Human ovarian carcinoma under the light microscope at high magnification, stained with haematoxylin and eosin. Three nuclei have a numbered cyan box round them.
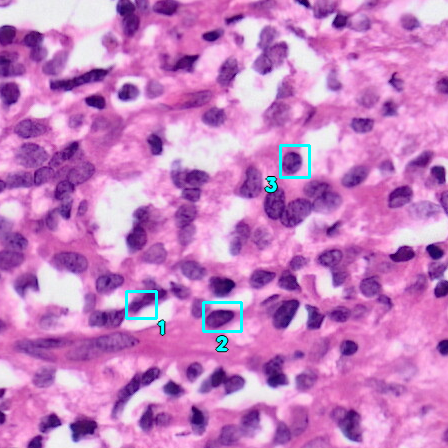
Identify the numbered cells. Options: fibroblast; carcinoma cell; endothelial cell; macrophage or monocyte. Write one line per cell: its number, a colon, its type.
1: carcinoma cell
2: carcinoma cell
3: macrophage or monocyte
